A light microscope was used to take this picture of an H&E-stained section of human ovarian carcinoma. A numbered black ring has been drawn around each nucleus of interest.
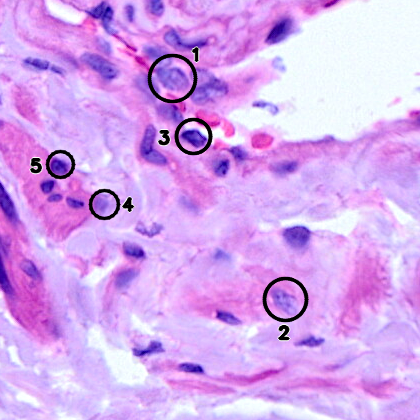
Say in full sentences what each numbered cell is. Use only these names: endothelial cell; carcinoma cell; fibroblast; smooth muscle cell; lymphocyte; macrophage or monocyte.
Cells 1 and 3 are endothelial cells. Cells 2, 4 and 5 are smooth muscle cells.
